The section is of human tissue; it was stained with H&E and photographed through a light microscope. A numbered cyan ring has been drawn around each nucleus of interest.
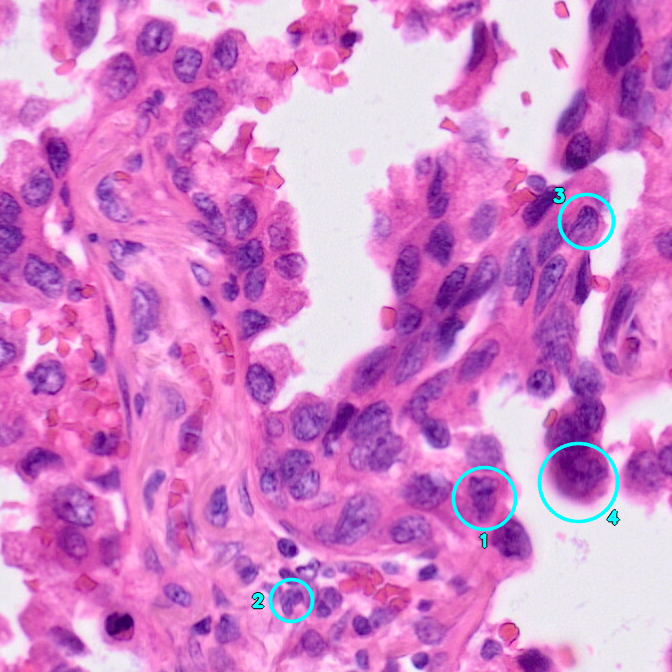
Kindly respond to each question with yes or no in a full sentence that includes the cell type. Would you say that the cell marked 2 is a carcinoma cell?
No, cell 2 does not represent a carcinoma cell; it represents a lymphocyte.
